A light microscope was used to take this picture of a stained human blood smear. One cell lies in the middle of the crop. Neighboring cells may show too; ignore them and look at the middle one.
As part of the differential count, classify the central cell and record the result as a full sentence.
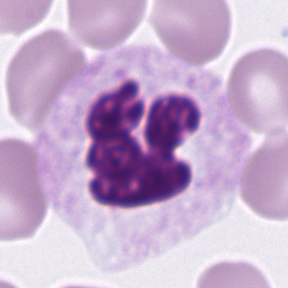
The centrally located cell in the crop is a segmented neutrophil.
